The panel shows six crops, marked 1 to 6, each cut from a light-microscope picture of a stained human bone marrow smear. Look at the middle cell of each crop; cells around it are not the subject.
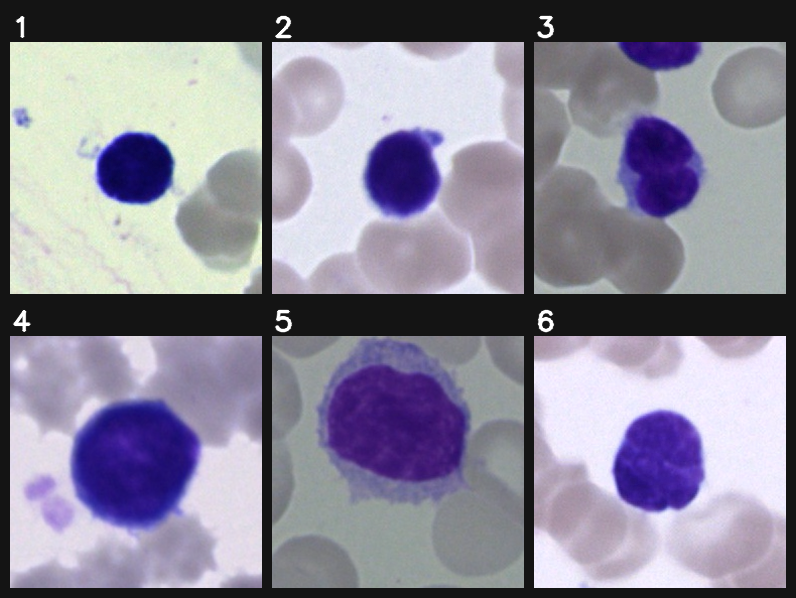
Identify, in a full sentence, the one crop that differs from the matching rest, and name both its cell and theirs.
Where the others show lymphocytes, crop 4 shows a blast.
